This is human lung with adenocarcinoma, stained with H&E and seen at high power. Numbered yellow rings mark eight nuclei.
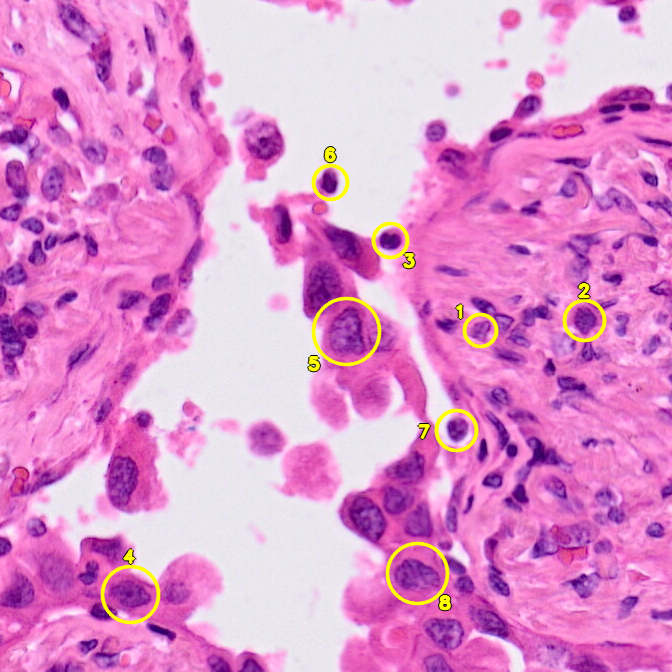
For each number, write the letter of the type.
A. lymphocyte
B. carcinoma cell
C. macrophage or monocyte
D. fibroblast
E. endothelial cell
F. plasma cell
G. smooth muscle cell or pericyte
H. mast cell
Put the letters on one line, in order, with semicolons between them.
A; F; A; B; B; A; A; B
